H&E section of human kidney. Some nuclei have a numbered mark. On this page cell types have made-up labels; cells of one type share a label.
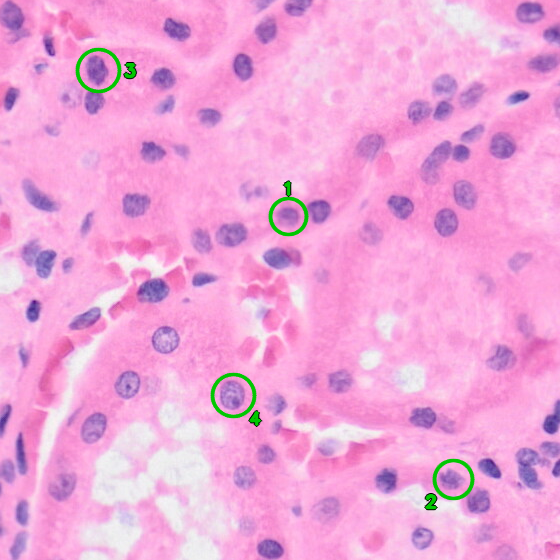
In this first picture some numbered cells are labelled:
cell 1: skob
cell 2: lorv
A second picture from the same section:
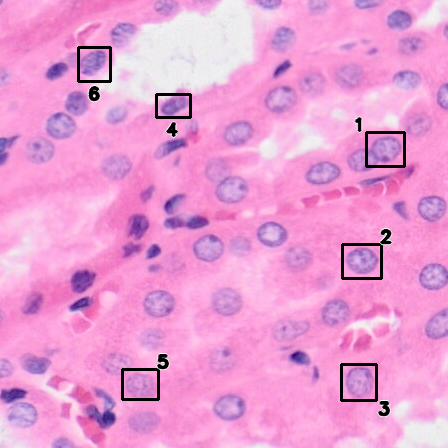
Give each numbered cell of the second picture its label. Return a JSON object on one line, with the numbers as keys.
{"1": "skob", "2": "skob", "3": "skob", "4": "lorv", "5": "skob", "6": "lorv"}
